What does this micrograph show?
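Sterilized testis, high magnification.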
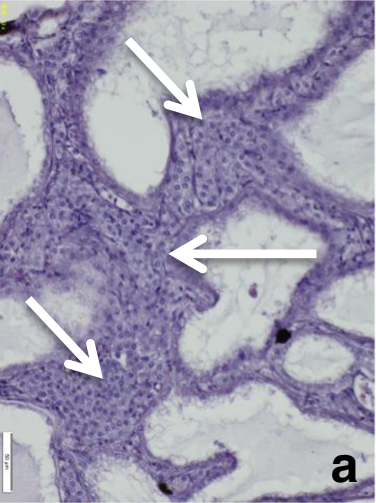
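This light micrograph shows a region of ducts and the interstitial tissue between them, stained in shades of purple. Several irregular, pale, nearly empty lumina are each lined by a thin layer of epithelial cells with small dark nuclei. Between the ducts lie broad interstitial areas filled with dense clusters of closely packed cells. These clustered cells have rounded nuclei and purple cytoplasm and form sheets rather than lining any lumen. The clusters occupy much of the space between neighbouring ducts.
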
